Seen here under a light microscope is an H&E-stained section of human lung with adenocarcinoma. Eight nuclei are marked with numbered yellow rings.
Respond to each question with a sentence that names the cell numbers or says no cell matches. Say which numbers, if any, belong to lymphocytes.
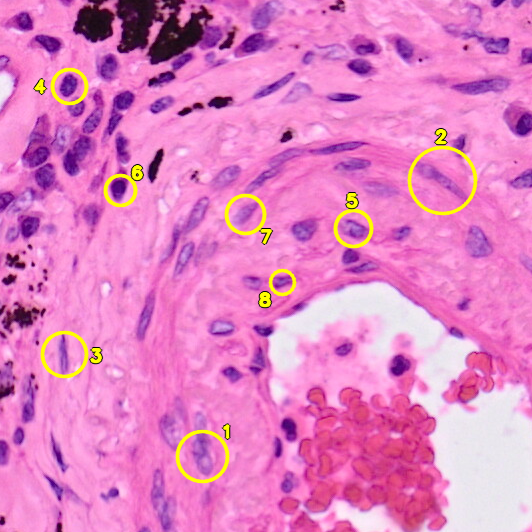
Of all the numbered cells, only one is a lymphocyte, and that is cell 4.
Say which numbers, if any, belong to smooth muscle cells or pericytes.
Identification: the cells with numbers 1, 2, 5, 7 and 8 are smooth muscle cells or pericytes.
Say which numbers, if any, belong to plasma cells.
Of the cells carrying numbers, just cell 6 is a plasma cell.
